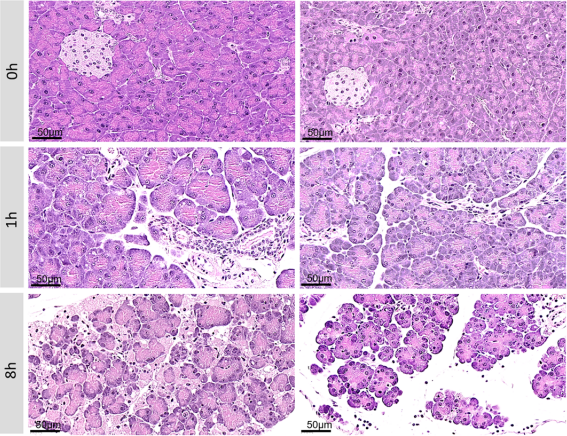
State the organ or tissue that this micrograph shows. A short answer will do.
Pancreatic tissue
